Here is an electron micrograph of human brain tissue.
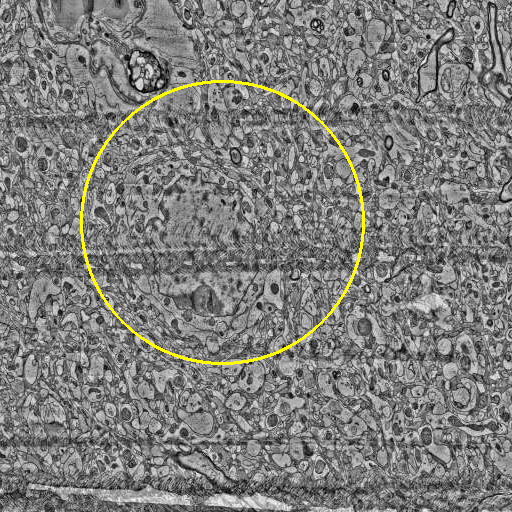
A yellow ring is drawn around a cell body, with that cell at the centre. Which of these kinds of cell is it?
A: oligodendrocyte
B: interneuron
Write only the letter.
B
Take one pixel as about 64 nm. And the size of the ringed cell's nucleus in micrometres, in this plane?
About 9 by 7 micrometers, in this plane.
